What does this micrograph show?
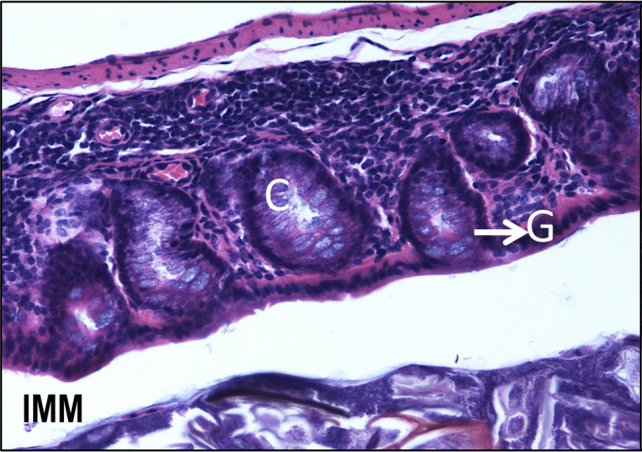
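Colonic mucosa in which the crypts appear as a few rounded, widely spaced glands cut in cross-section, each lined by a ring of columnar epithelium around a small lumen, with pale goblet cells among the epithelial cells. The tissue between the crypts is densely packed with small, round, darkly stained nuclei, and small vessels containing red blood cells are visible. A thin pink muscle layer lies along the upper edge.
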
